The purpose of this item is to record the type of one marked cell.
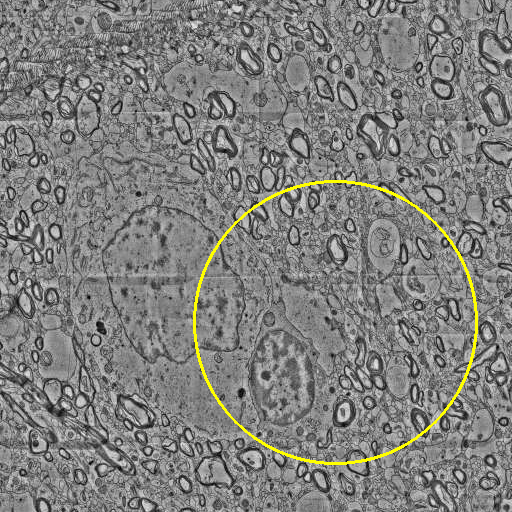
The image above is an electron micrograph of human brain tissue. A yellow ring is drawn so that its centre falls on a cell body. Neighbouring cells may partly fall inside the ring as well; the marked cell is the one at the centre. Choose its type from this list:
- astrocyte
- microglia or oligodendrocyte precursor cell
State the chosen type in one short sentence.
What the ring marks here is a microglial cell or oligodendrocyte precursor cell.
